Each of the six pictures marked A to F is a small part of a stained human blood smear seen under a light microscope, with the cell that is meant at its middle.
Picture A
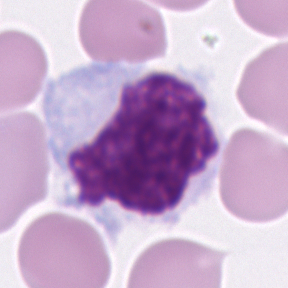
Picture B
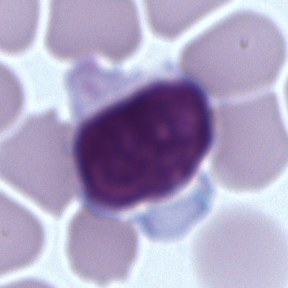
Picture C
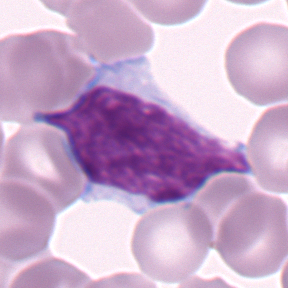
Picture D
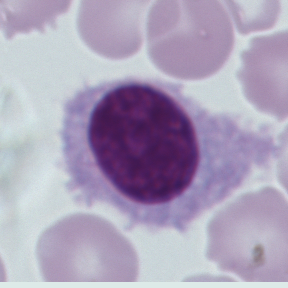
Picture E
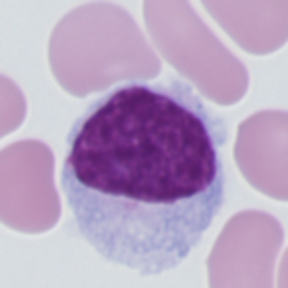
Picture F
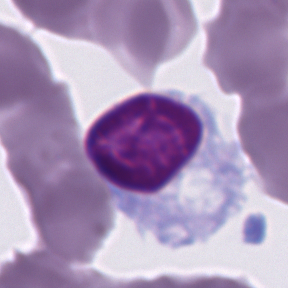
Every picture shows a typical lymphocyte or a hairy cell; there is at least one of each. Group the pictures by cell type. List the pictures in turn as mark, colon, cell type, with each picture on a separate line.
A: hairy cell
B: typical lymphocyte
C: typical lymphocyte
D: hairy cell
E: hairy cell
F: hairy cell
